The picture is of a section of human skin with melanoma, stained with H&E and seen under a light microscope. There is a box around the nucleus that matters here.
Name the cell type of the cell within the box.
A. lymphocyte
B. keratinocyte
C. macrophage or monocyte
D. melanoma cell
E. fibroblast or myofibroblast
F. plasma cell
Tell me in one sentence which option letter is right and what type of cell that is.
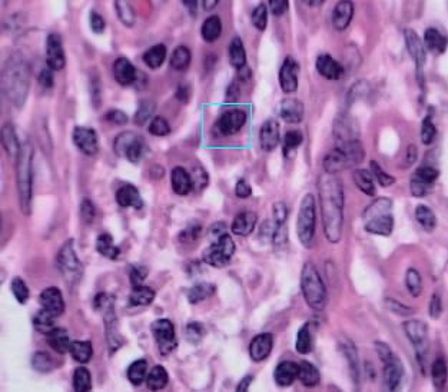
Option F properly identifies the cell within the box as a plasma cell.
